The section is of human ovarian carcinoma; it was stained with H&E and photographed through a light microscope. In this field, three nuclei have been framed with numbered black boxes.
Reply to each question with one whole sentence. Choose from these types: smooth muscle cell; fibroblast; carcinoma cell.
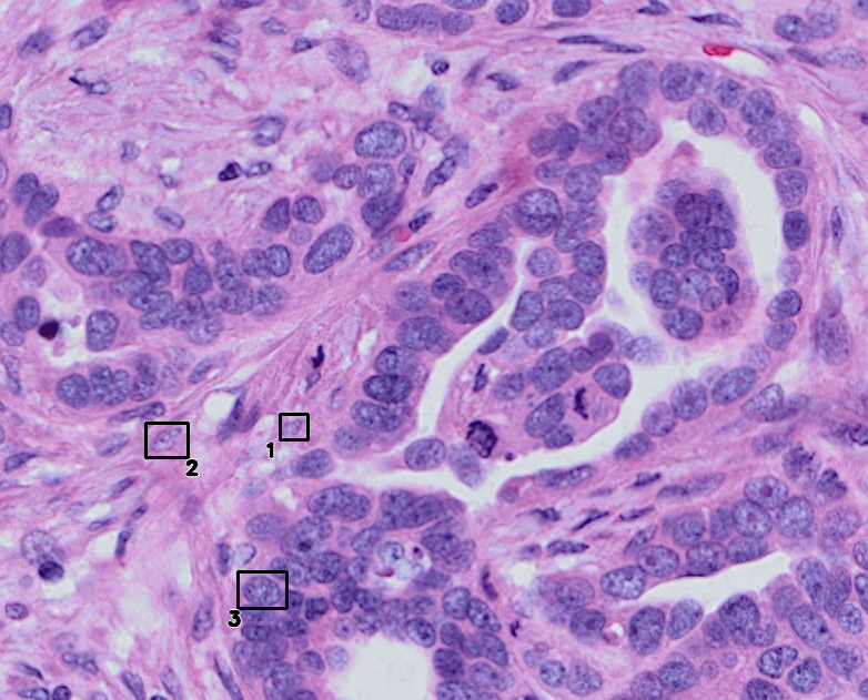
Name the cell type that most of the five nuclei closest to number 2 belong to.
Fibroblasts account for more than half of the five nuclei nearest to number 2.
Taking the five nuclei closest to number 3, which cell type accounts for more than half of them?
Carcinoma cells account for more than half of the five nuclei nearest to number 3.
